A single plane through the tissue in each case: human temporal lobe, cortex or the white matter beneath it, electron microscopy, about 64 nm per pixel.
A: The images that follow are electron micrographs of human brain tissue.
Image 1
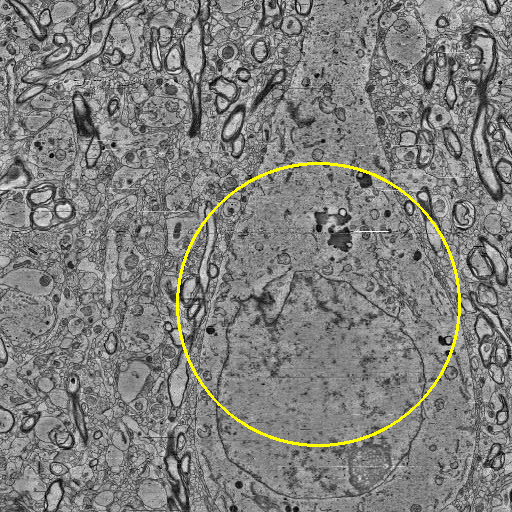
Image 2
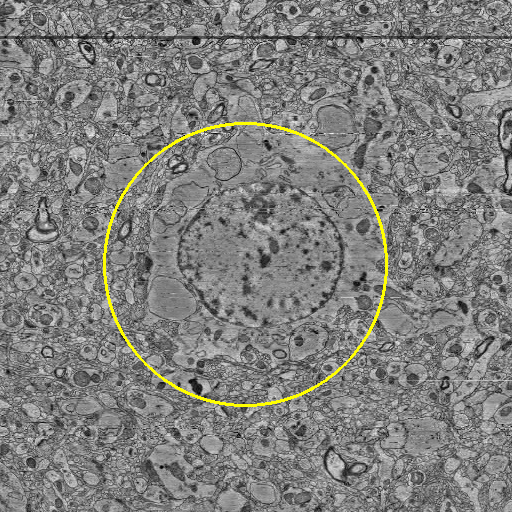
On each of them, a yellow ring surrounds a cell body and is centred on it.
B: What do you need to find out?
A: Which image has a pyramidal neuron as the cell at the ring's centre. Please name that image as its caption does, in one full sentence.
Image 1 is the one whose ring has the sought cell at its centre.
